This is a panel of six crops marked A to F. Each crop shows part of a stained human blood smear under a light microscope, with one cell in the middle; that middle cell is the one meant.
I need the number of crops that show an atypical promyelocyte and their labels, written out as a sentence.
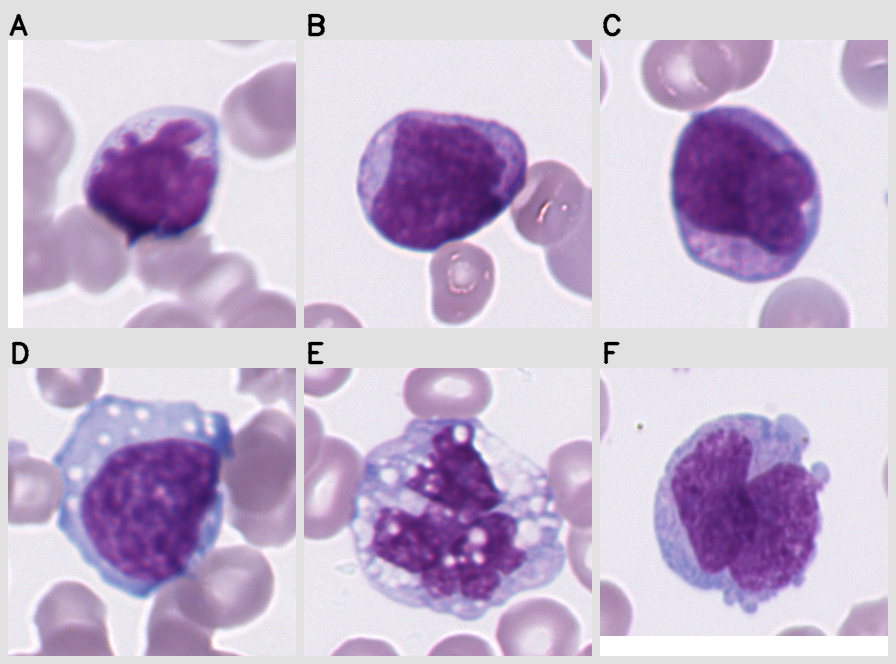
The cells in crops B, C and F are atypical promyelocytes, giving three crops of this kind.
